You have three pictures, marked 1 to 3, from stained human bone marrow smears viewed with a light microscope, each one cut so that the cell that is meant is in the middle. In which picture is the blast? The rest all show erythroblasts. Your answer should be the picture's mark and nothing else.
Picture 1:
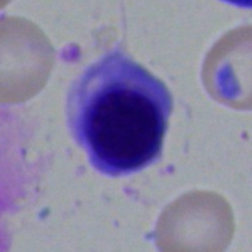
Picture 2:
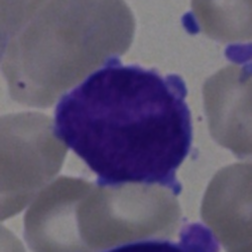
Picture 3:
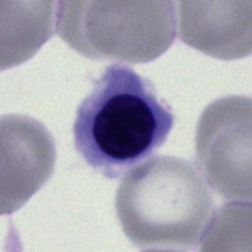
2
